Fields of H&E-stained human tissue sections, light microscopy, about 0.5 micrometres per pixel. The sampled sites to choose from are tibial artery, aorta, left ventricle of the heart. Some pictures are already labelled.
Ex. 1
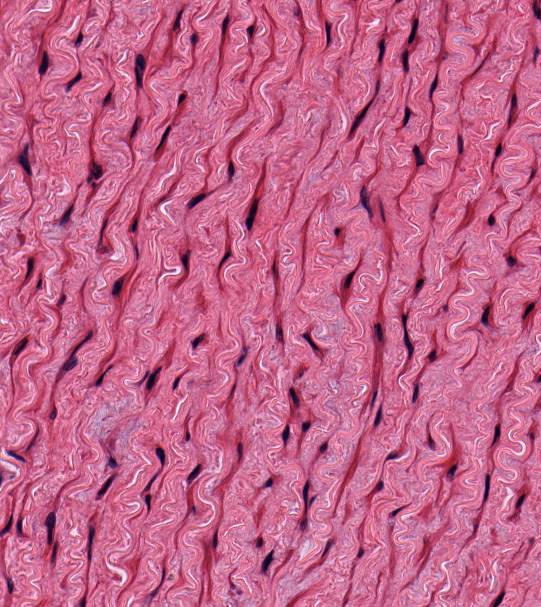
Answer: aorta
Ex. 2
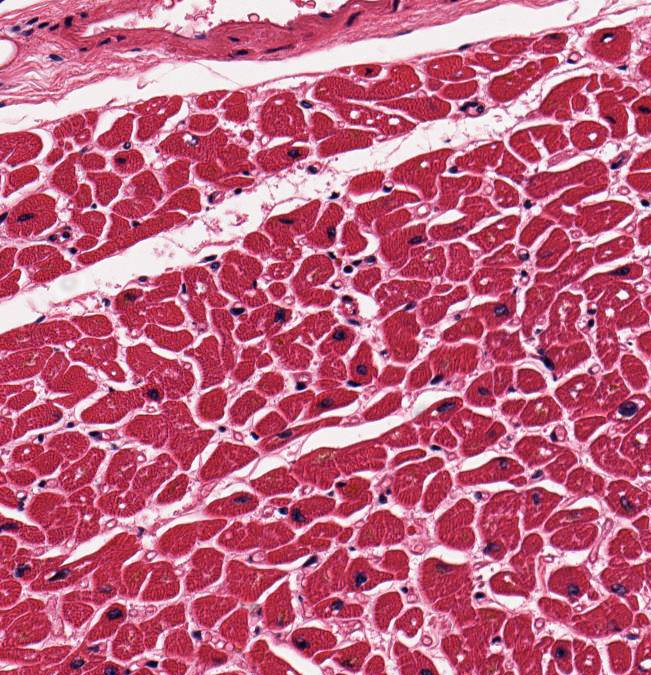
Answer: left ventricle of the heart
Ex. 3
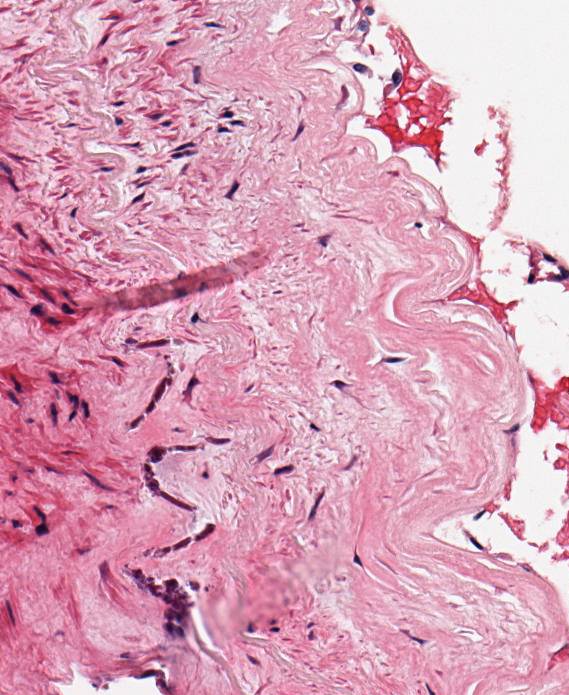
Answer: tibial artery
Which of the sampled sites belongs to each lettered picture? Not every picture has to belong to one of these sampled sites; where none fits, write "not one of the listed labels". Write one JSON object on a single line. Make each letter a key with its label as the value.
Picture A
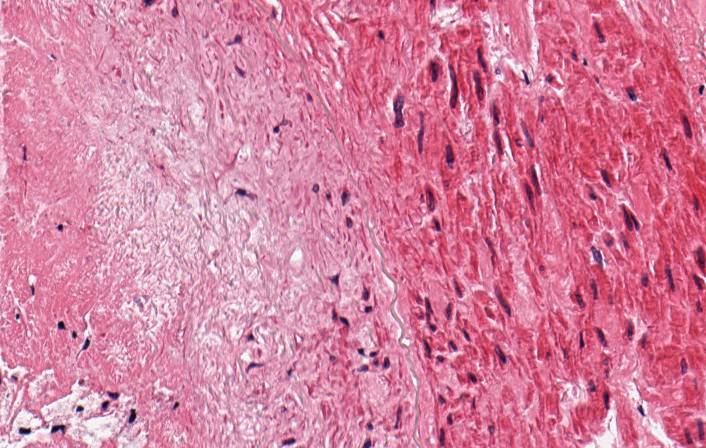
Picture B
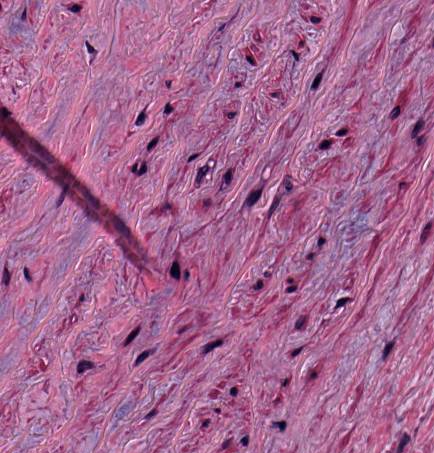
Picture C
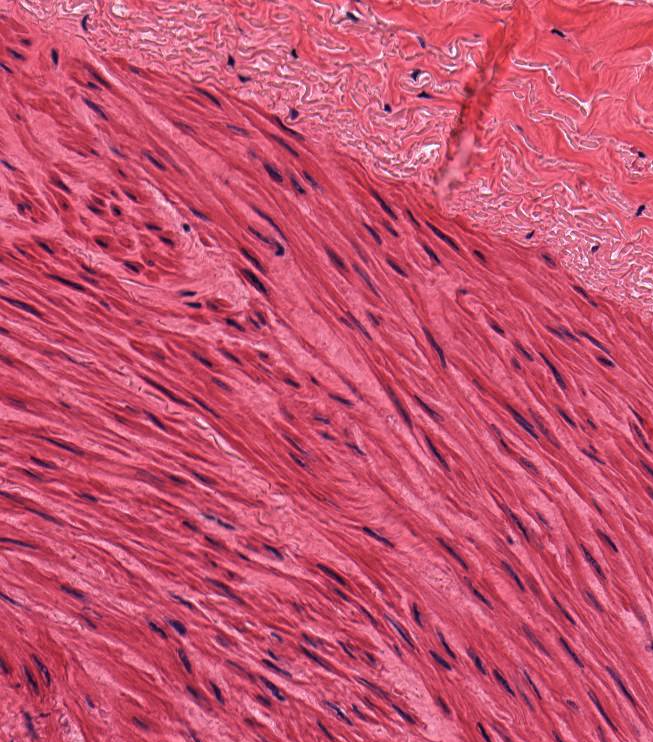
{"A": "not one of the listed labels", "B": "aorta", "C": "tibial artery"}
